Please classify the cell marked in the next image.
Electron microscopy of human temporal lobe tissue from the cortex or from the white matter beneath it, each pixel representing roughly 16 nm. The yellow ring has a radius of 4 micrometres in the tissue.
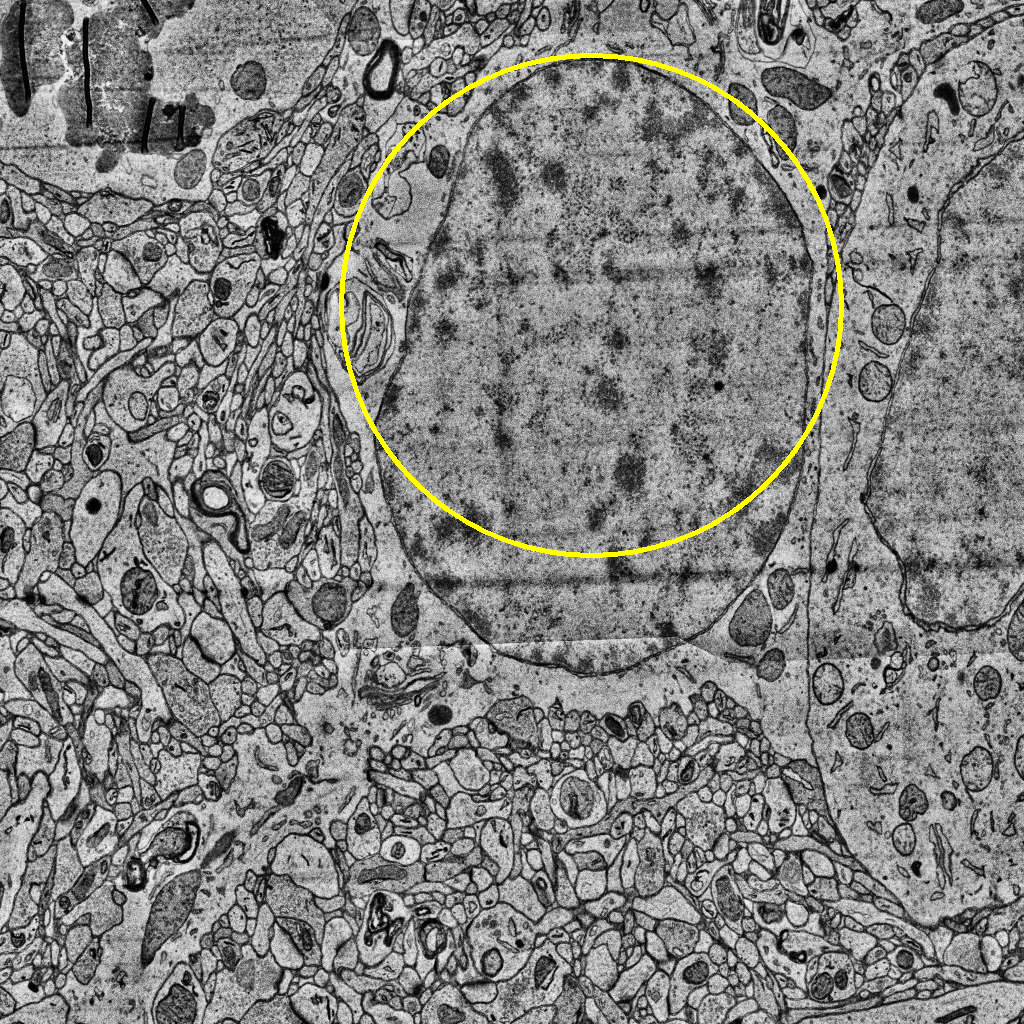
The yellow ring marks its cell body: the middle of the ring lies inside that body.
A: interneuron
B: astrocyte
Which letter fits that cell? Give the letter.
B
